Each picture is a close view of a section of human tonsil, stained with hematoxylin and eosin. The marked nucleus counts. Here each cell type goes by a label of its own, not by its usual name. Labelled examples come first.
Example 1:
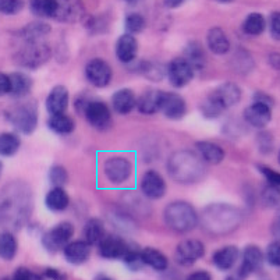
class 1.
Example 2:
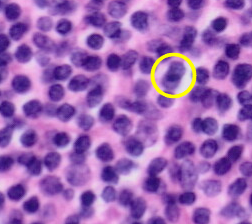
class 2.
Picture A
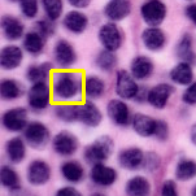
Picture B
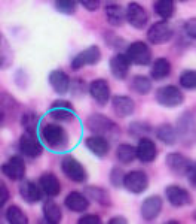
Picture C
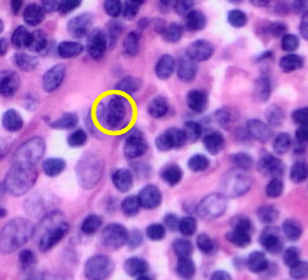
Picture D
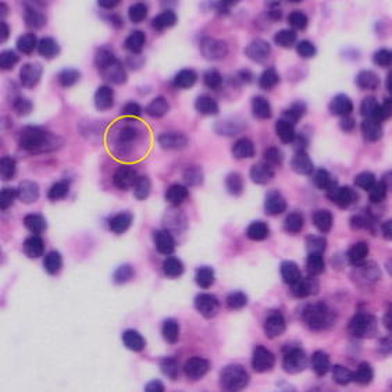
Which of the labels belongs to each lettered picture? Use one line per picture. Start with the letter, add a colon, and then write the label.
A: class 2.
B: class 2.
C: class 1.
D: class 1.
